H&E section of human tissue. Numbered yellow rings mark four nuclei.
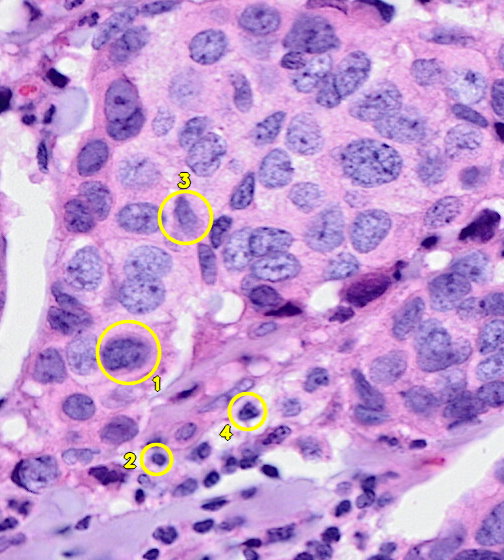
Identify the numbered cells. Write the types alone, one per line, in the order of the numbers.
carcinoma cell
lymphocyte
carcinoma cell
lymphocyte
